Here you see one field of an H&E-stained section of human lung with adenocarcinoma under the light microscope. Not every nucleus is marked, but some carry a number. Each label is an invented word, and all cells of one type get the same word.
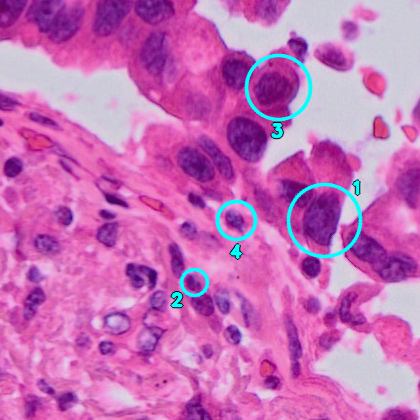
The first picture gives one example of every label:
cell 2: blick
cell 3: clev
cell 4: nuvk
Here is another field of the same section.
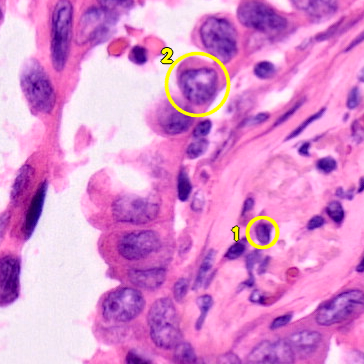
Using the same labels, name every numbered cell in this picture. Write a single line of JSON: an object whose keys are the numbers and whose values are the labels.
{"1": "blick", "2": "clev"}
